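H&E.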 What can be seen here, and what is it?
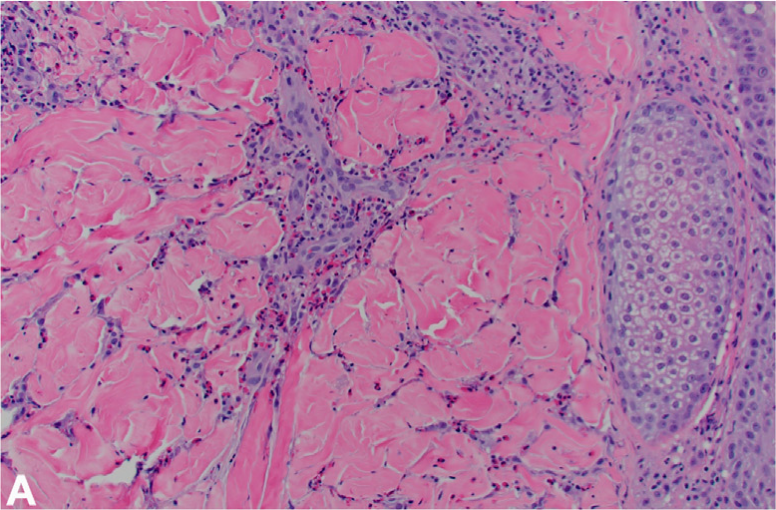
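This section of dermis shows an inflammatory infiltrate in which many of the cells are eosinophils, recognisable by their bright red-orange cytoplasm. The infiltrate gathers around a small vessel crossing the field and spreads out between thick, pale pink collagen bundles. On the right an epithelial structure with pale, clear cells is cut in cross-section, surrounded by further inflammatory cells.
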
